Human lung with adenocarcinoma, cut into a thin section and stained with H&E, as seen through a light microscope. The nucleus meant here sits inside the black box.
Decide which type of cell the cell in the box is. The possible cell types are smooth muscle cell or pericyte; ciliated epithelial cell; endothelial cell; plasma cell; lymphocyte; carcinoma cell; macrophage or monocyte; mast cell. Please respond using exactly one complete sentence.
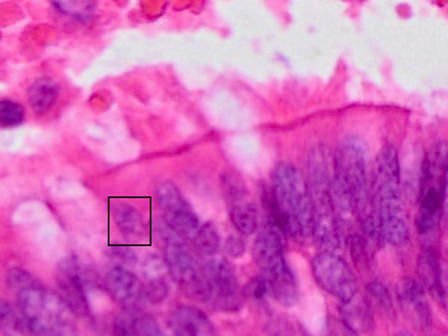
To be brief about it, the cell in the box is a ciliated epithelial cell.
